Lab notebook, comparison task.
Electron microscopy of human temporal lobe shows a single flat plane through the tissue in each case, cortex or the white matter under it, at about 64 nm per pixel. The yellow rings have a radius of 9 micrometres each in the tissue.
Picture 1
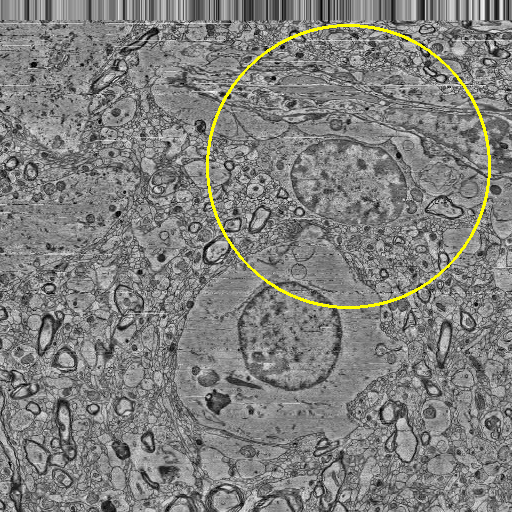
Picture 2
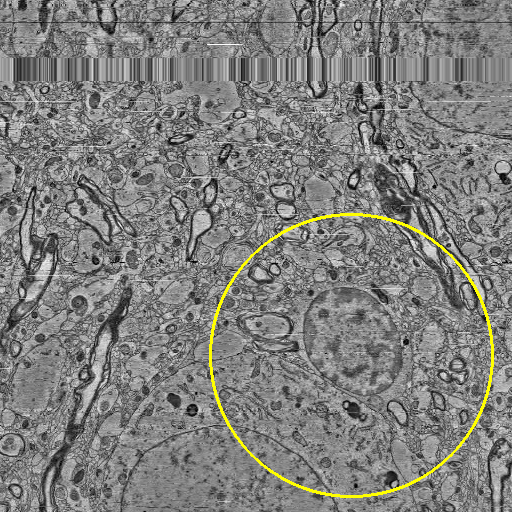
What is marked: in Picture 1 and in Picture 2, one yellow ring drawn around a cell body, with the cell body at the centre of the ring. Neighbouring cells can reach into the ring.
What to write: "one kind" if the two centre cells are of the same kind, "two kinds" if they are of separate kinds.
one kind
